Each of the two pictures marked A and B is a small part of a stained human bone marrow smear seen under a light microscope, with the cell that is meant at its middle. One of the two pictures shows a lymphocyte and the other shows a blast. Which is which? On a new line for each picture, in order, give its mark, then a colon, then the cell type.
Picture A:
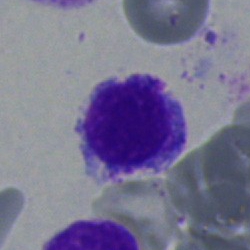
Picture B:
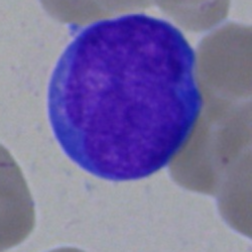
A: lymphocyte
B: blast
